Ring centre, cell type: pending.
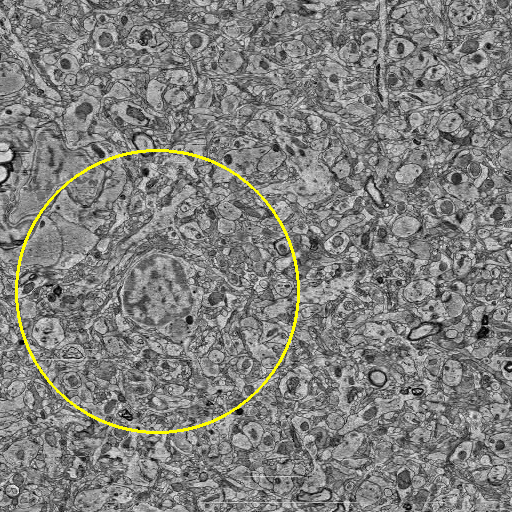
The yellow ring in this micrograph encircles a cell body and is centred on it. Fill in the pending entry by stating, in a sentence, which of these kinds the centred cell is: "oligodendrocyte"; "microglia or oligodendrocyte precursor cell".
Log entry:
The centred cell is recorded as a microglial cell or oligodendrocyte precursor cell.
